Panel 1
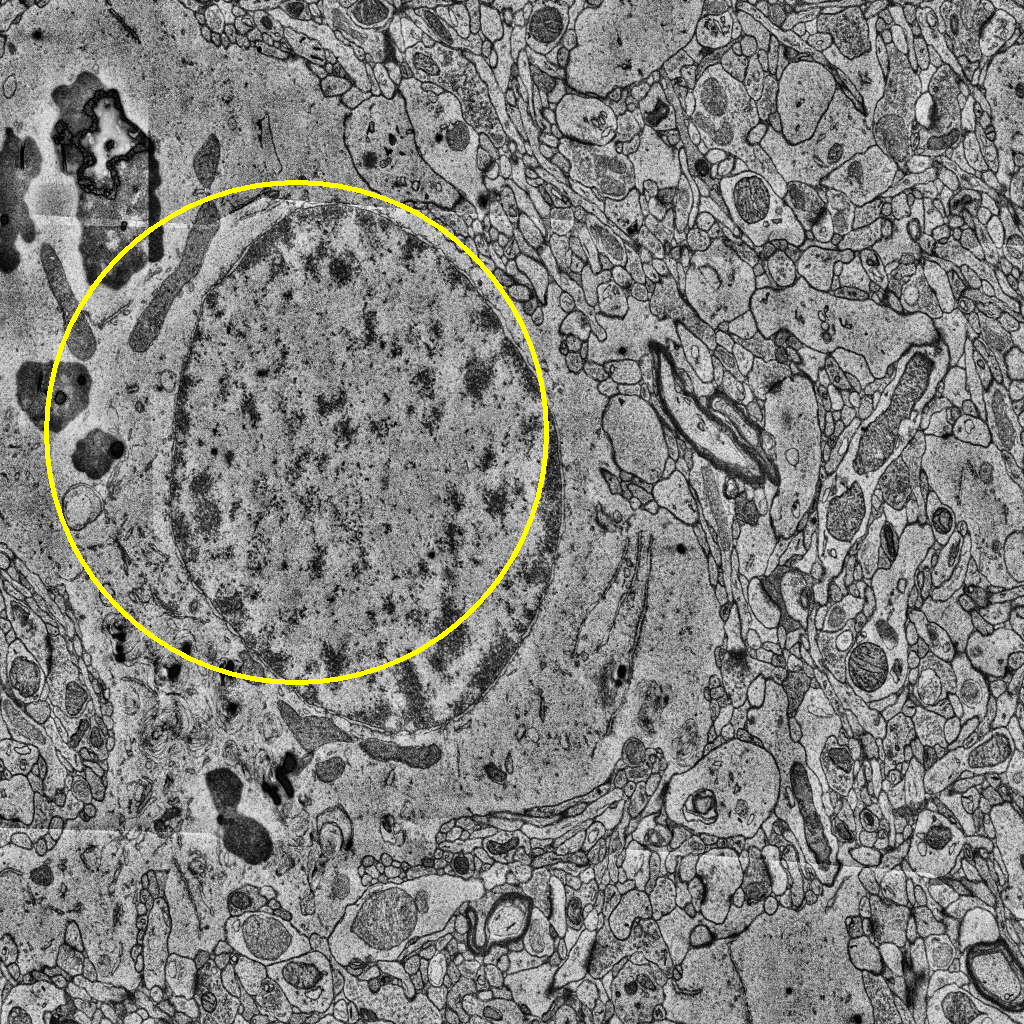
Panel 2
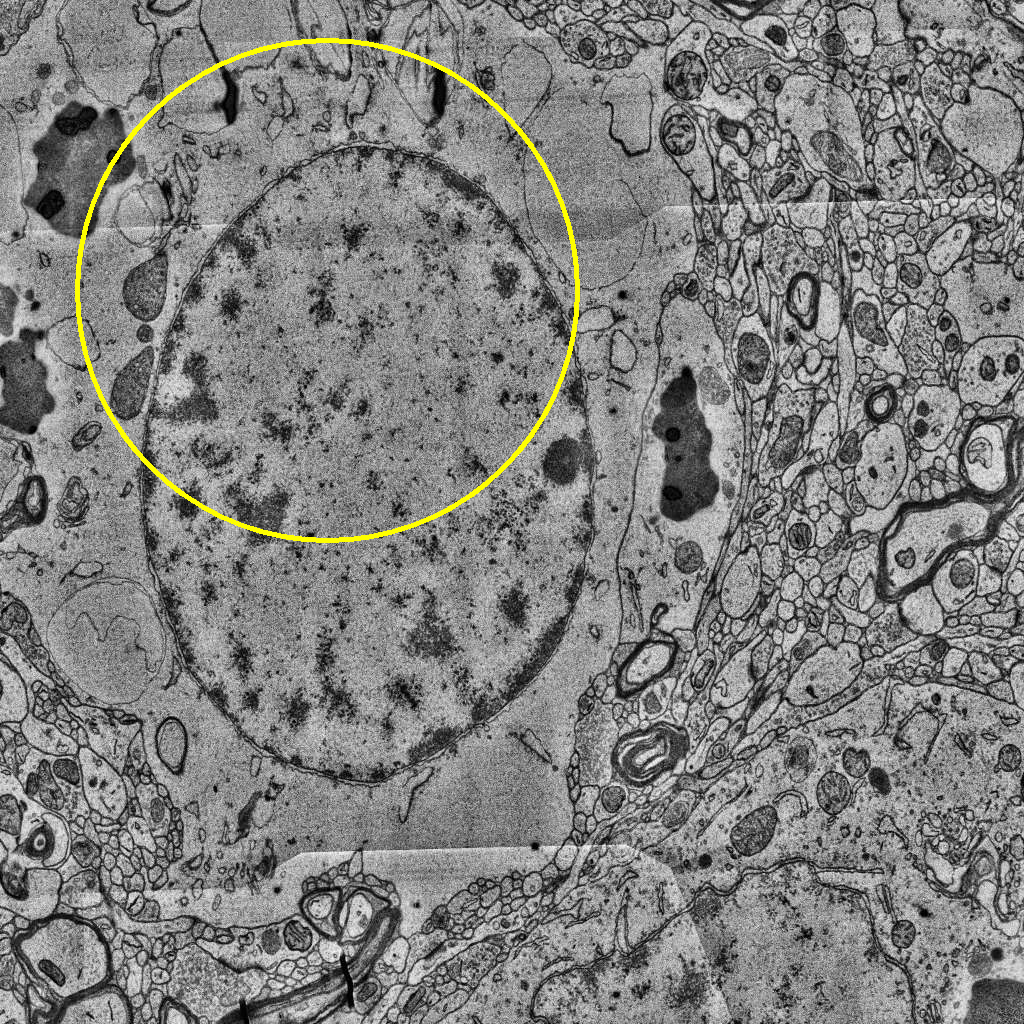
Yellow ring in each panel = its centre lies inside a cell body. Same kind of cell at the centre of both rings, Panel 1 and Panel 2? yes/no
yes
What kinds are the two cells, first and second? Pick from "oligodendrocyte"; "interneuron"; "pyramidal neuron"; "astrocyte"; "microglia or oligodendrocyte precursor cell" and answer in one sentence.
The ring centre holds an astrocyte in each of the two pictures.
